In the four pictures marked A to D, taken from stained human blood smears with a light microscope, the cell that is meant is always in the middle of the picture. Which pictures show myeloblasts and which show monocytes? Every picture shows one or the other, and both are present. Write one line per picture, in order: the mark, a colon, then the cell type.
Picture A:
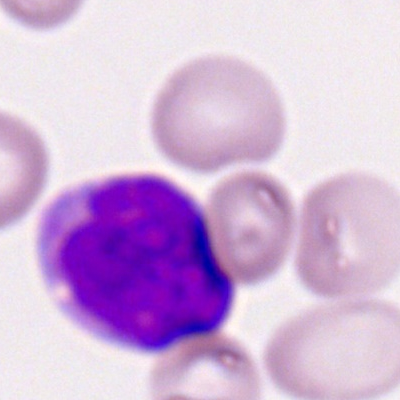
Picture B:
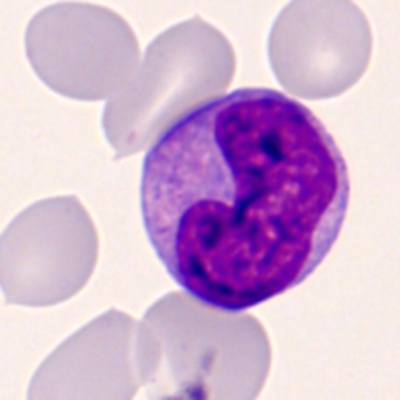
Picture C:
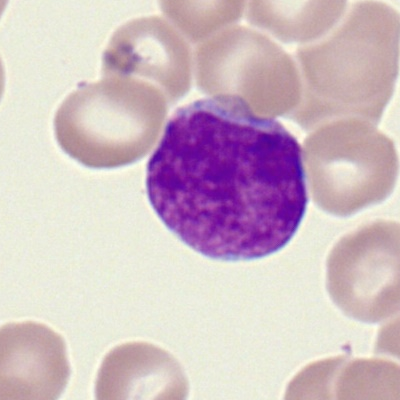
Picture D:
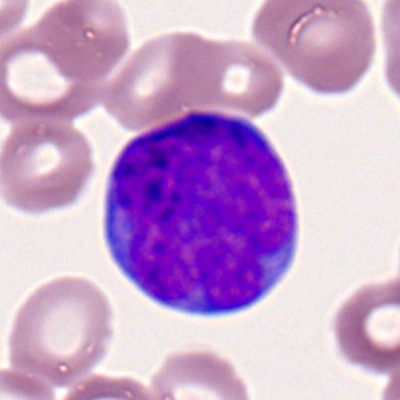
A: myeloblast
B: monocyte
C: myeloblast
D: myeloblast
